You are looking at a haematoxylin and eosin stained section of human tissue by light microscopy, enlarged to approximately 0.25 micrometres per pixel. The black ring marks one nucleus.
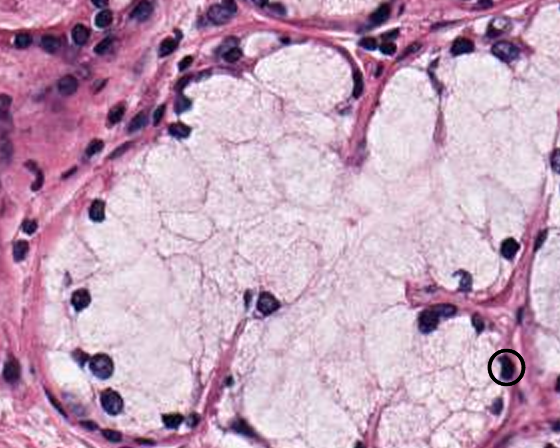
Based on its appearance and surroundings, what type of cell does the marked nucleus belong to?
mucous gland cell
